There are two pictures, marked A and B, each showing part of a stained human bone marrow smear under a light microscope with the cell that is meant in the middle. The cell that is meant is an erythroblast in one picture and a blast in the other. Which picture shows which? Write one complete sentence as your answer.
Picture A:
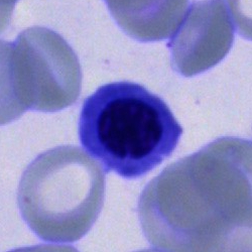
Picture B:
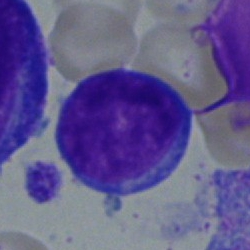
Picture A shows an erythroblast and picture B shows a blast.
